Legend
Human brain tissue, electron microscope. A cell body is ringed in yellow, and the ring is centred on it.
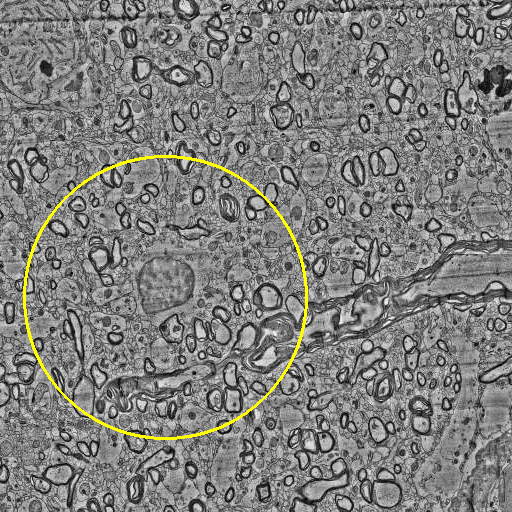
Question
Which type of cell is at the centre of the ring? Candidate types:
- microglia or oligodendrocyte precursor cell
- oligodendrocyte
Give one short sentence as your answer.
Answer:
The yellow ring is centred here on an oligodendrocyte.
